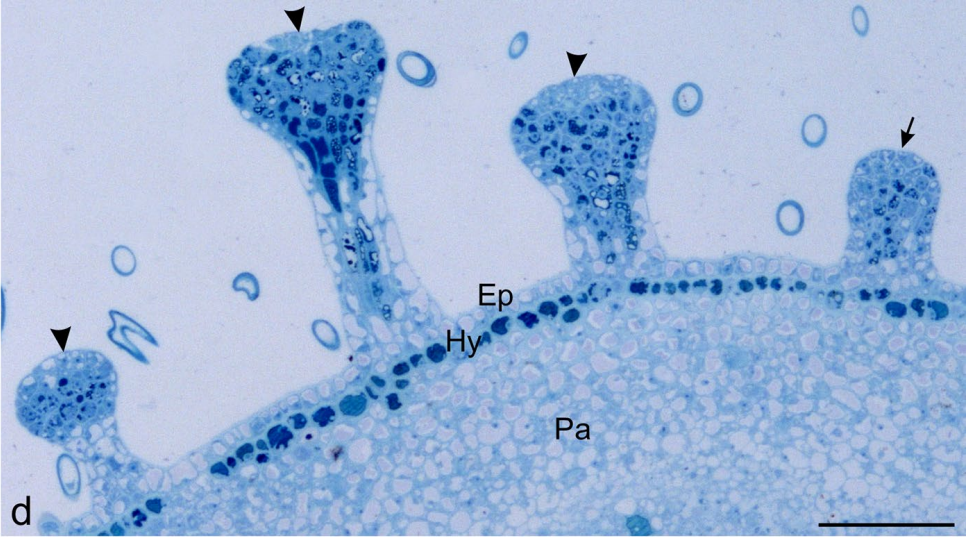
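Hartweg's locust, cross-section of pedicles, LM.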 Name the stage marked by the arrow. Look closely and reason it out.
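Immature. The arrow marks a smaller, shorter outgrowth than the others. Its head is paler with fewer dark deposits.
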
